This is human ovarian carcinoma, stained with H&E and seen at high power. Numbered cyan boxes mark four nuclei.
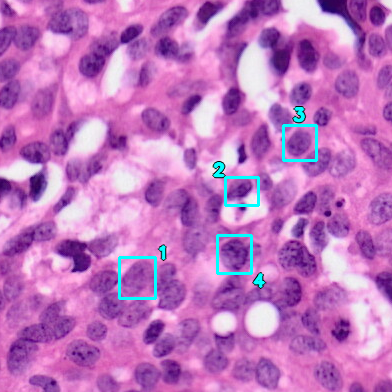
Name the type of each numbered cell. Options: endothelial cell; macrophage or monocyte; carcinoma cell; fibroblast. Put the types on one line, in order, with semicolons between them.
carcinoma cell; macrophage or monocyte; carcinoma cell; carcinoma cell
